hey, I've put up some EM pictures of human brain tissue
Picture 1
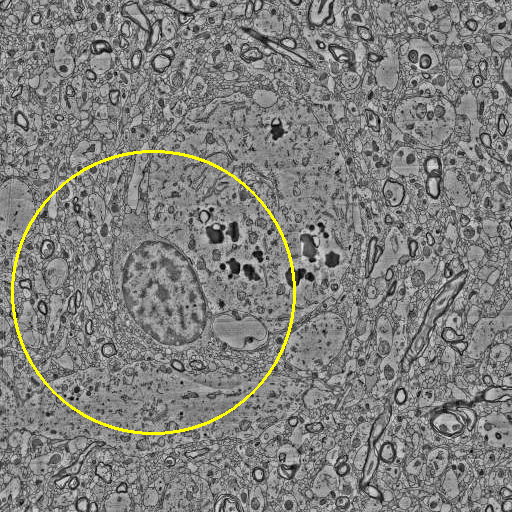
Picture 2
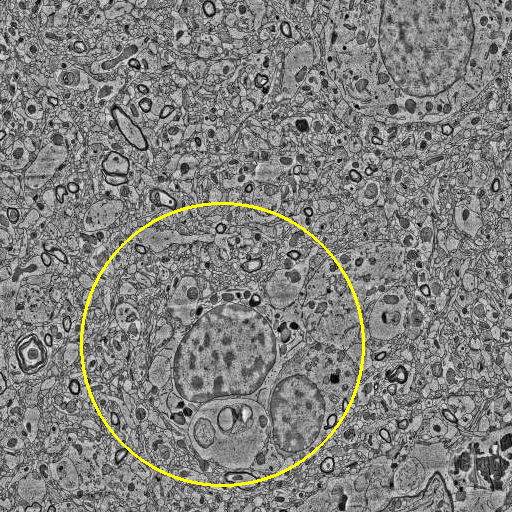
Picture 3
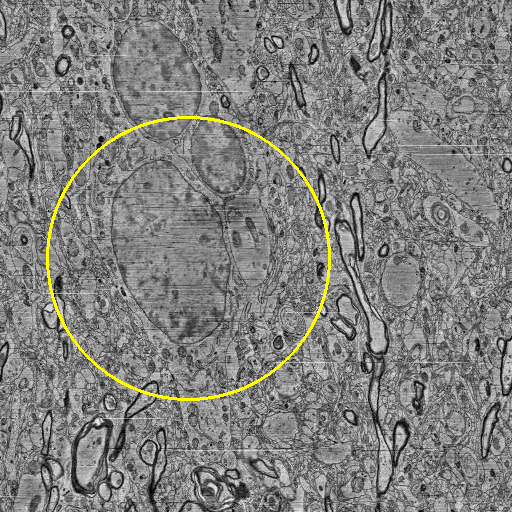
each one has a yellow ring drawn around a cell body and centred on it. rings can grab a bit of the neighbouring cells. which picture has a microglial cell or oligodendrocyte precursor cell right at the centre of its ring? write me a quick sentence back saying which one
It's Picture 2.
